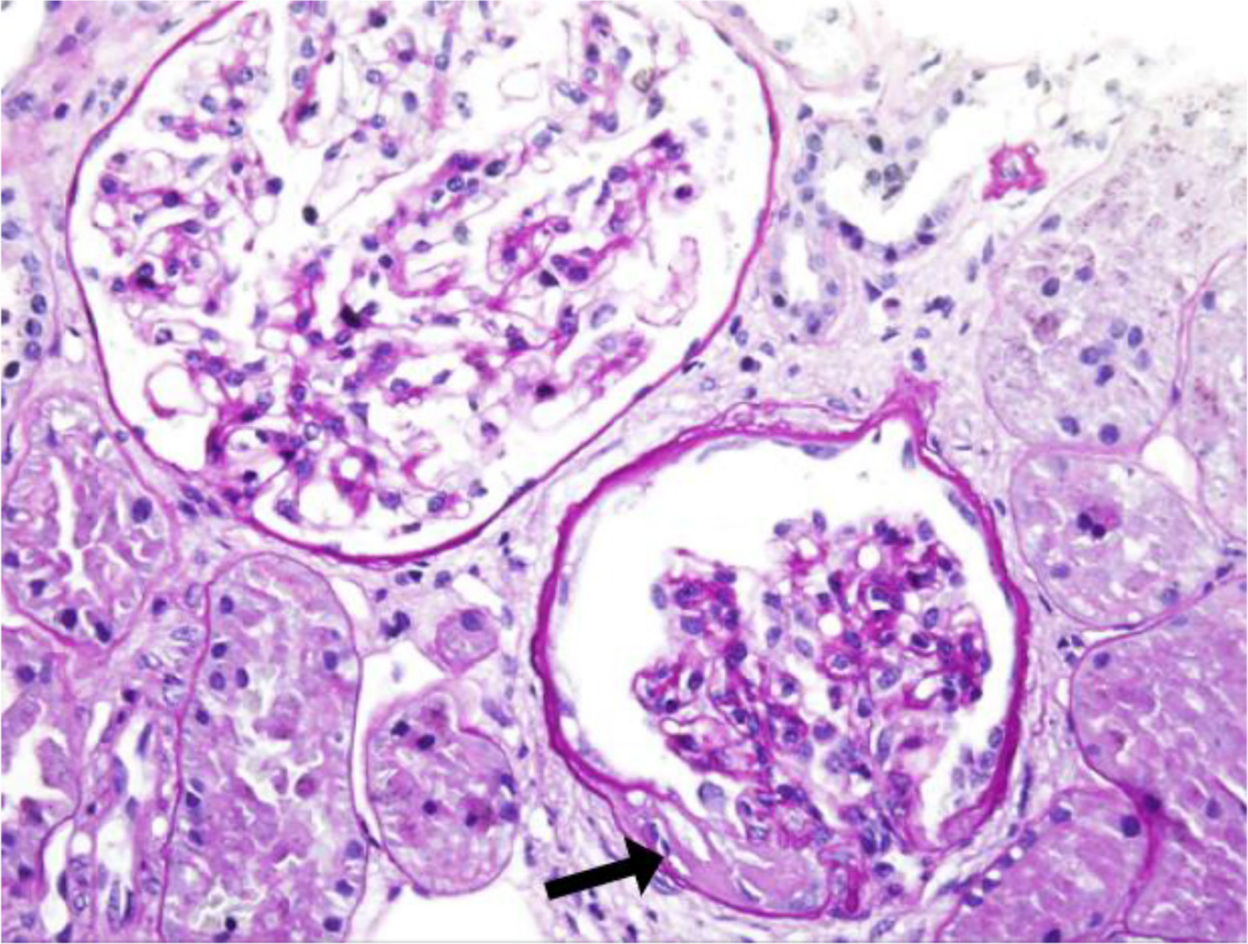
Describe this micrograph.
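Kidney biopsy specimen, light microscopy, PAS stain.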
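Renal cortex with two glomeruli surrounded by tubules. The upper left glomerulus is large, with open capillary loops outlined by thin magenta basement membranes and a thin Bowman's capsule. The lower right glomerulus sits in a wide Bowman's space. One segment of its tuft, at the lower left against the capsule, is replaced by pale homogeneous pink matrix with lost capillary lumina. The surrounding tubules have pink granular cytoplasm and round nuclei, and the interstitium between them is narrow.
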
